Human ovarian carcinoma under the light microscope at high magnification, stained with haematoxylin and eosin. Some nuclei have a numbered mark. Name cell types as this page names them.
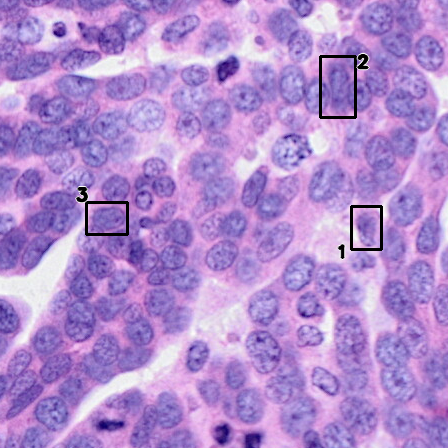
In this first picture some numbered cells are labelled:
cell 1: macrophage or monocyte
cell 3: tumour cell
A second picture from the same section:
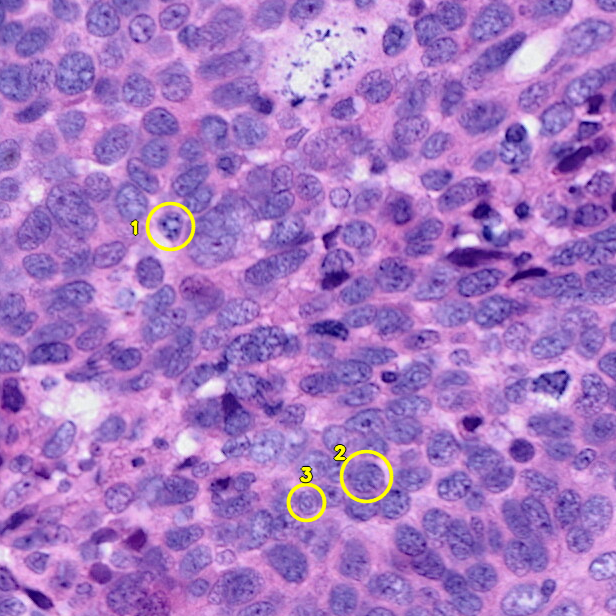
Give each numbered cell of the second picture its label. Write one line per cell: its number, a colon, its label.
1: macrophage or monocyte
2: tumour cell
3: tumour cell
